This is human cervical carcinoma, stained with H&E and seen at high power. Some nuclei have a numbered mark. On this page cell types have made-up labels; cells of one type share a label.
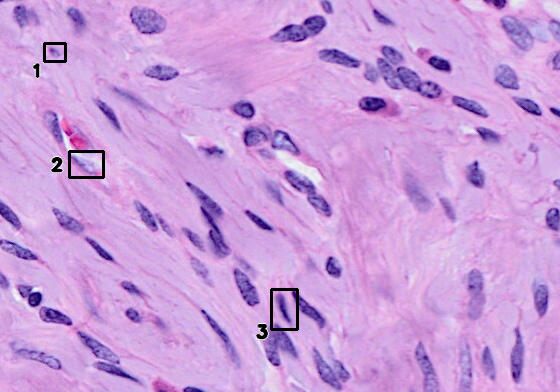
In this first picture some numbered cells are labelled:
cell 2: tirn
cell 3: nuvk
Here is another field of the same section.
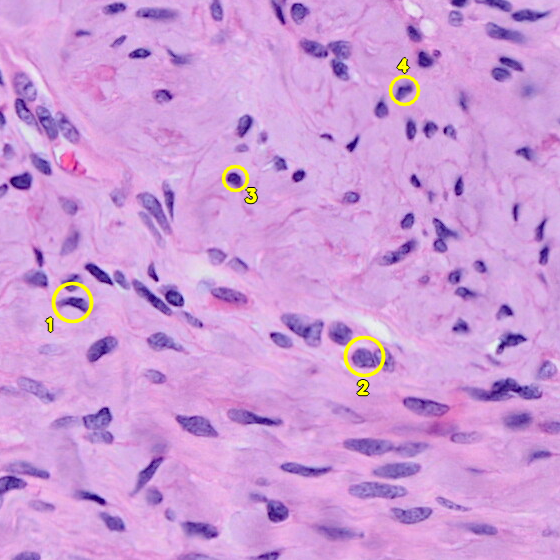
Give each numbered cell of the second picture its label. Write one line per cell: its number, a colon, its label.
1: nuvk
2: tirn
3: nuvk
4: nuvk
